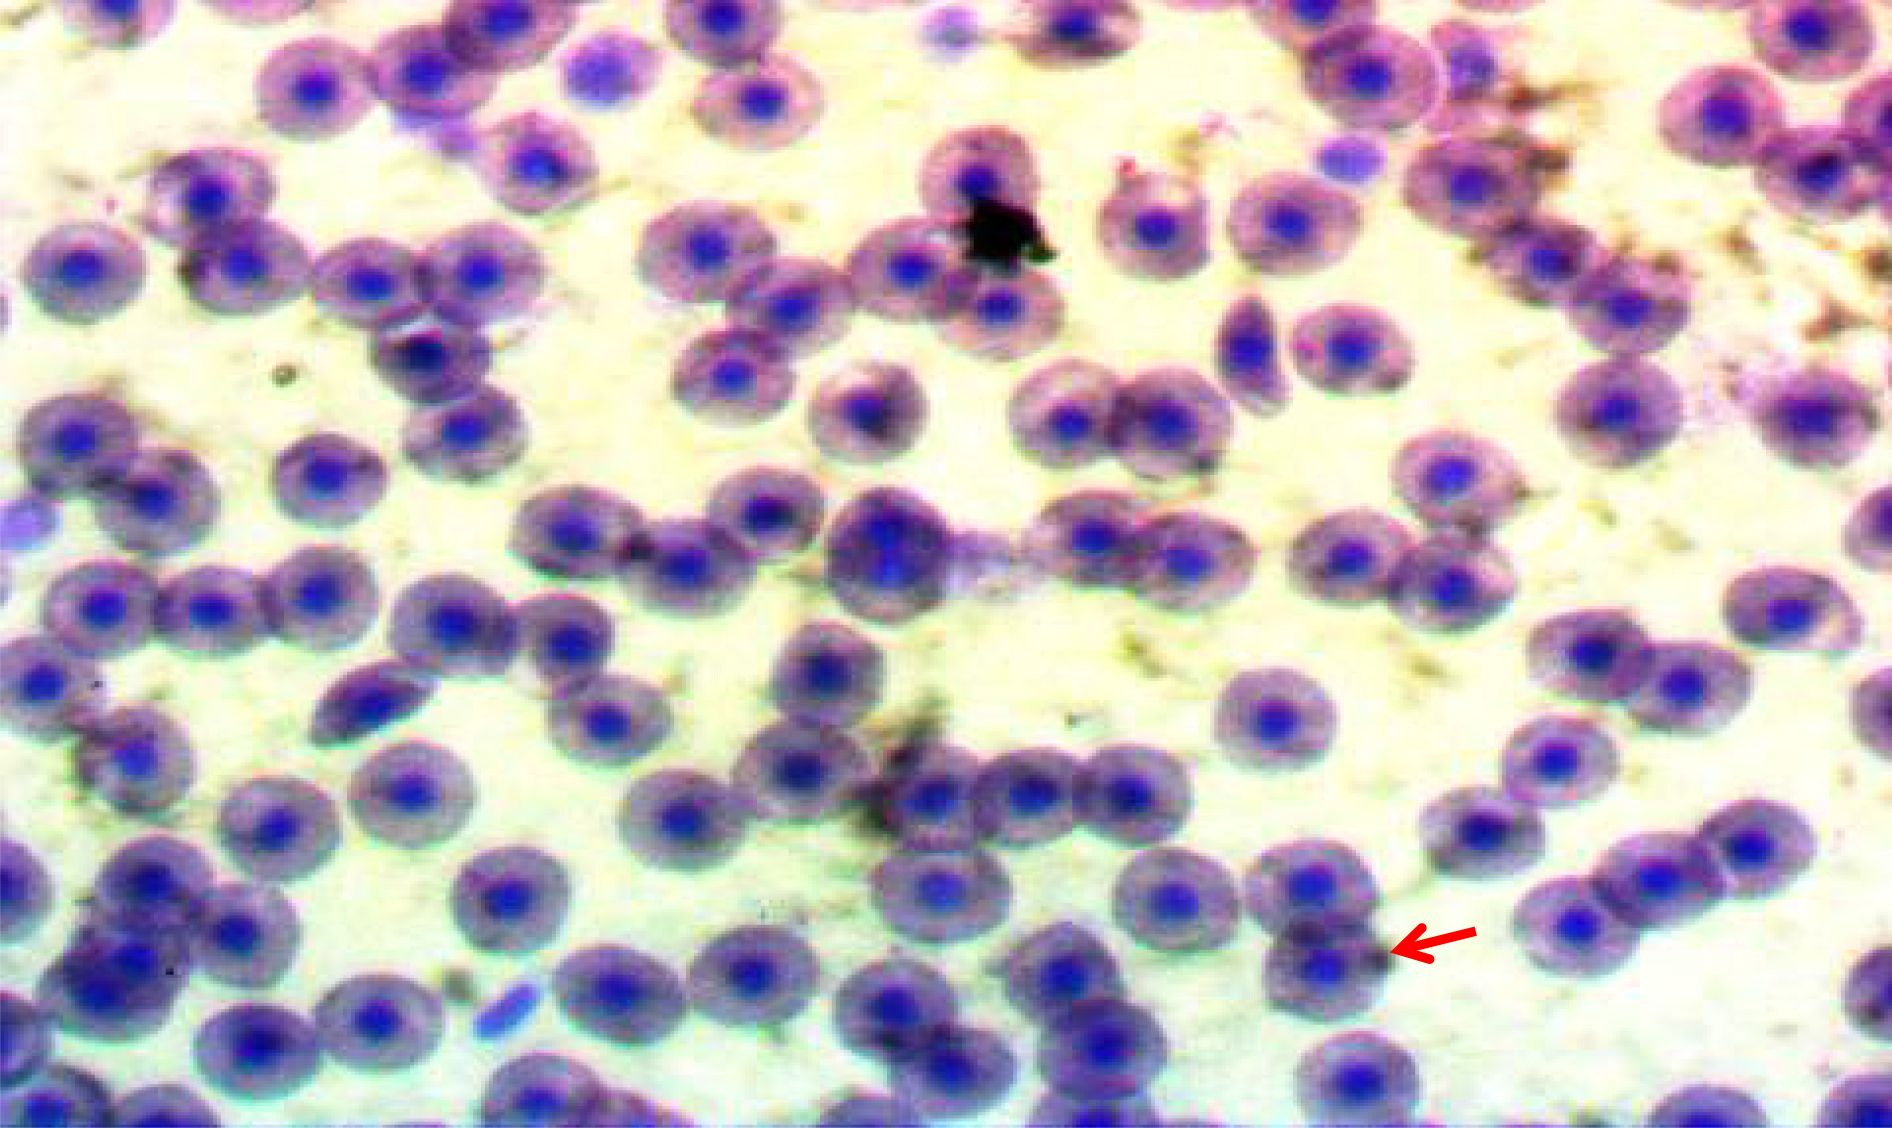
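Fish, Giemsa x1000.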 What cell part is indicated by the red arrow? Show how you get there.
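Micronucleus. The red arrow points at a small dark body at the edge of one cell, apart from that cell's main central nucleus. The marked body is much smaller than the main nuclei.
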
